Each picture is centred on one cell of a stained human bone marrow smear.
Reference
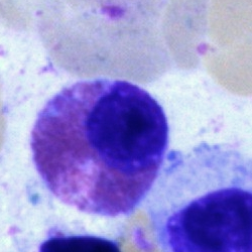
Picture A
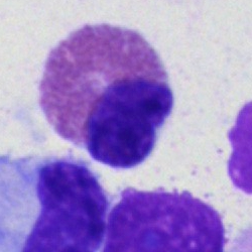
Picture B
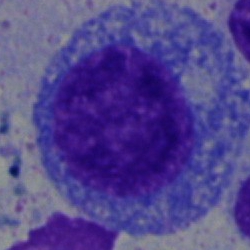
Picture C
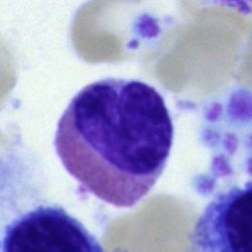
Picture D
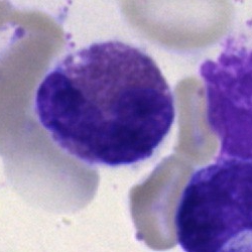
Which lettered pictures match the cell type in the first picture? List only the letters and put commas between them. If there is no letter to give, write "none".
A, C, D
